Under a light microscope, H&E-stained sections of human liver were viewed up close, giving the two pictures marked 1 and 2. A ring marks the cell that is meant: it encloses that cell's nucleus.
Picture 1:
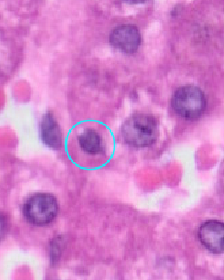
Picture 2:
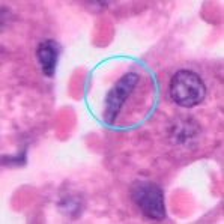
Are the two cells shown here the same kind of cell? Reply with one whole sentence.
No, the types are not the same, since picture 1 shows a “fibroblast or stellate cell” and picture 2 a Kupffer cell.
